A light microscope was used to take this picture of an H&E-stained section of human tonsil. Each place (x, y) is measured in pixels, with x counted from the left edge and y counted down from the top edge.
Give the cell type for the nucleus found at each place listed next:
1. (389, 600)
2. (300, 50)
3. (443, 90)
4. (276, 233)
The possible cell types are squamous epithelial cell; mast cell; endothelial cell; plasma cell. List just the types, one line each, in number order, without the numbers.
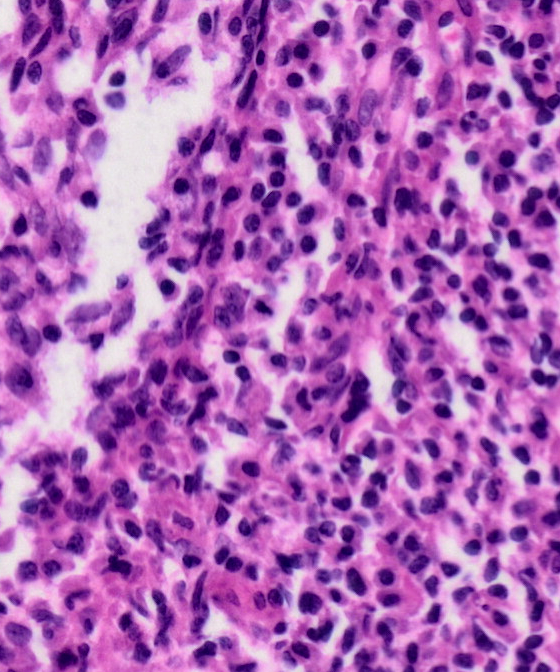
plasma cell
plasma cell
endothelial cell
plasma cell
